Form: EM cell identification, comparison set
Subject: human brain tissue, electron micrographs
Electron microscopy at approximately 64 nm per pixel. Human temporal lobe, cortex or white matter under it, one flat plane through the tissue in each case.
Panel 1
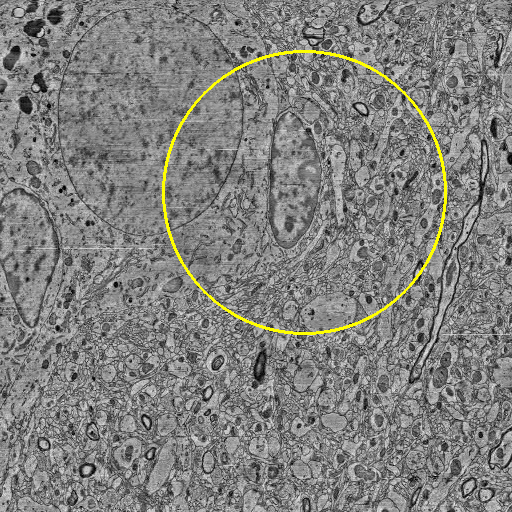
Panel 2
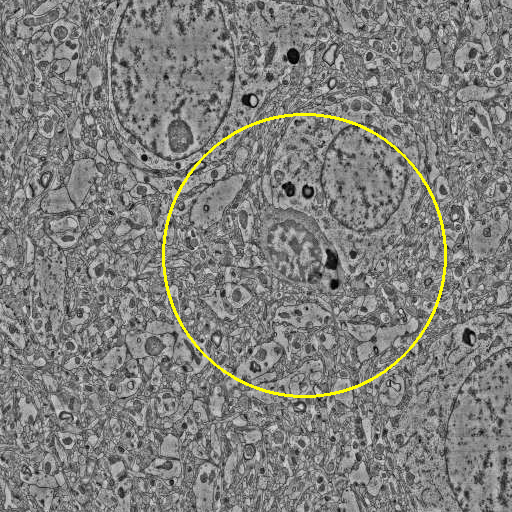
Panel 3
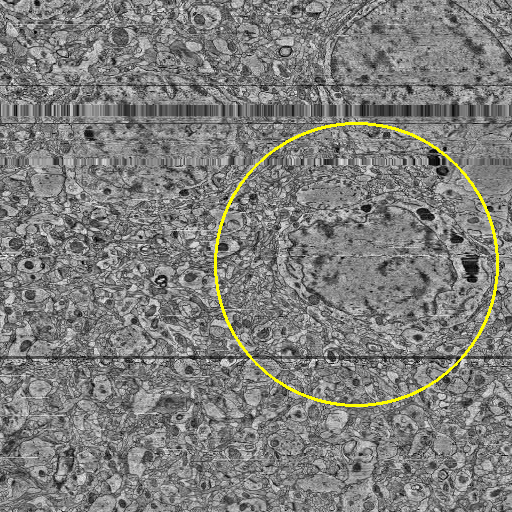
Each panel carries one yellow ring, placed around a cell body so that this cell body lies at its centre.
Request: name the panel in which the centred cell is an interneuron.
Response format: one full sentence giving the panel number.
Panel 3 has it at the centre of its ring.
